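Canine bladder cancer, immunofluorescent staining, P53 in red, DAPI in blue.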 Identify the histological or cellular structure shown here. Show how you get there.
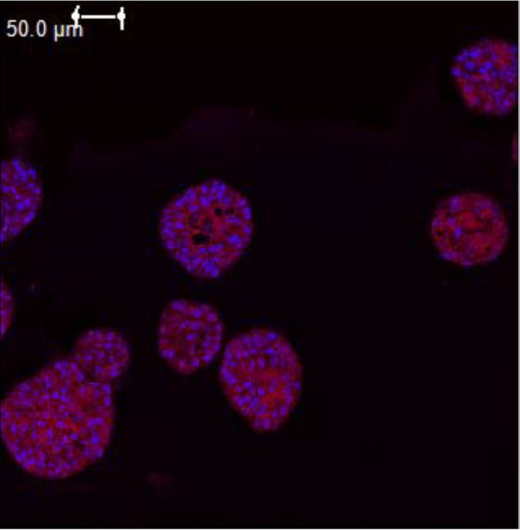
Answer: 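Several separate, rounded, compact clusters of cells lie apart from one another in an unstained background. Each cluster is densely packed with many blue nuclei.
Conclusion: organoids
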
